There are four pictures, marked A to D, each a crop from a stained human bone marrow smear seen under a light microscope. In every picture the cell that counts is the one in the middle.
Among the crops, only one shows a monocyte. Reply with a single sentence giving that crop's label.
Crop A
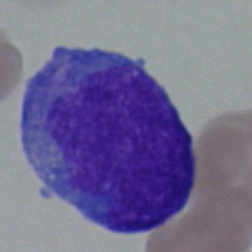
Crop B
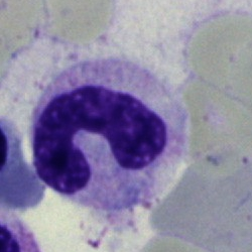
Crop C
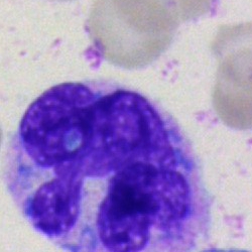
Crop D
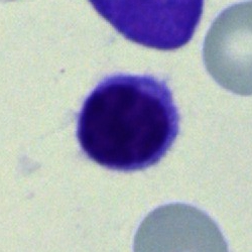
The crop carrying a monocyte at the center is crop C.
